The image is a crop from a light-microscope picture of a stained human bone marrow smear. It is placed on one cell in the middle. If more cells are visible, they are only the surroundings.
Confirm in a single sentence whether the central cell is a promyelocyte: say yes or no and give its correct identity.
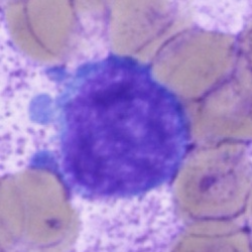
No, the cell of interest here is a blast and not a promyelocyte.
